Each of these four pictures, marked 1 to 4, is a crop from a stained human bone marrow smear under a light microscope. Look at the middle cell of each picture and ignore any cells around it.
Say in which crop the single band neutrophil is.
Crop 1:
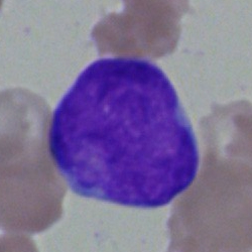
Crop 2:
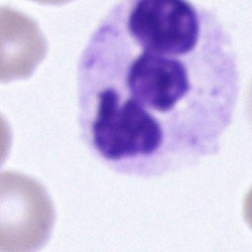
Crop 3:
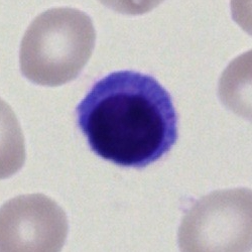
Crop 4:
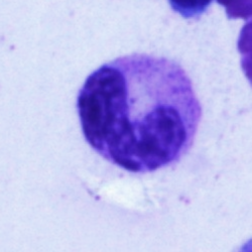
4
